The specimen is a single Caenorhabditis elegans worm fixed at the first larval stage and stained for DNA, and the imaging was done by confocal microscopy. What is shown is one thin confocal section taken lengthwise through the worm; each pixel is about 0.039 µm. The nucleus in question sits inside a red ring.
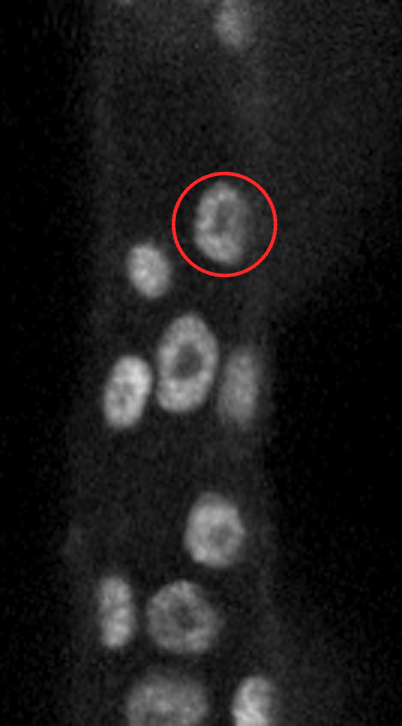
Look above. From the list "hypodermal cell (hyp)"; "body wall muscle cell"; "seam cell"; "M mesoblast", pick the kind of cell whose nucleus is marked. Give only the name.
seam cell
